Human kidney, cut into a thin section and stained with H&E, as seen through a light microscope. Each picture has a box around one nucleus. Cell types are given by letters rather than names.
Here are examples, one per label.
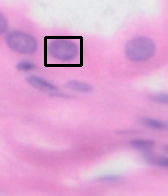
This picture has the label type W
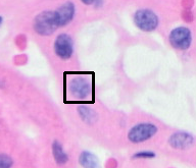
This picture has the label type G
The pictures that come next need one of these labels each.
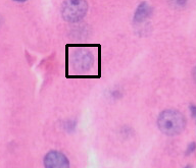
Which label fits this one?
type W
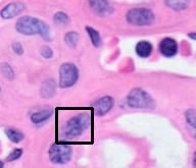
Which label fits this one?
type G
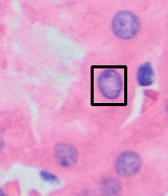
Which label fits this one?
type W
